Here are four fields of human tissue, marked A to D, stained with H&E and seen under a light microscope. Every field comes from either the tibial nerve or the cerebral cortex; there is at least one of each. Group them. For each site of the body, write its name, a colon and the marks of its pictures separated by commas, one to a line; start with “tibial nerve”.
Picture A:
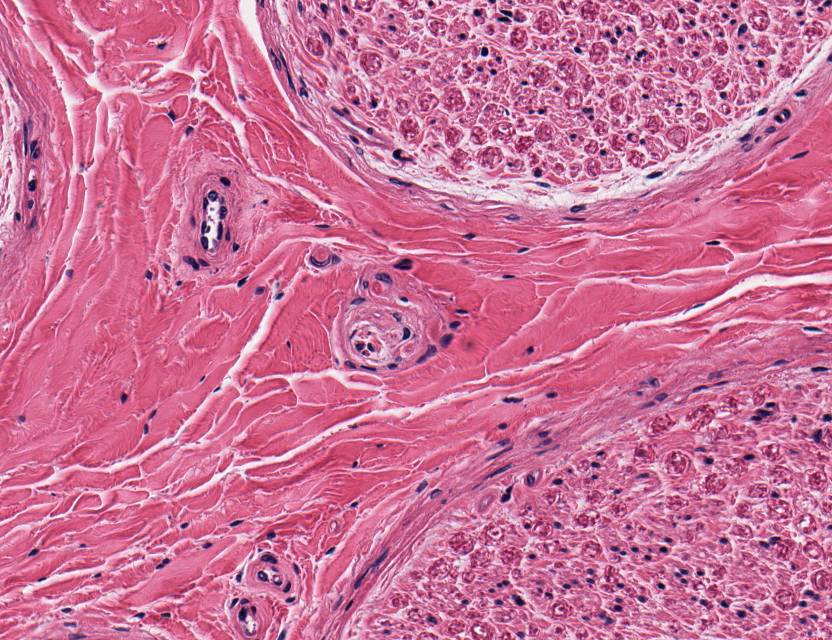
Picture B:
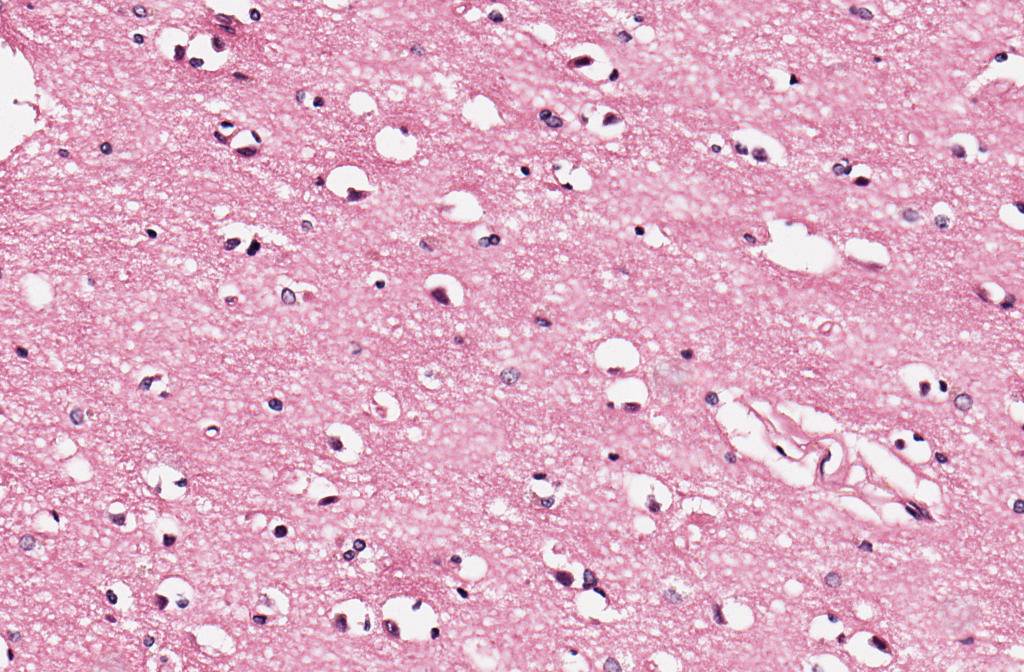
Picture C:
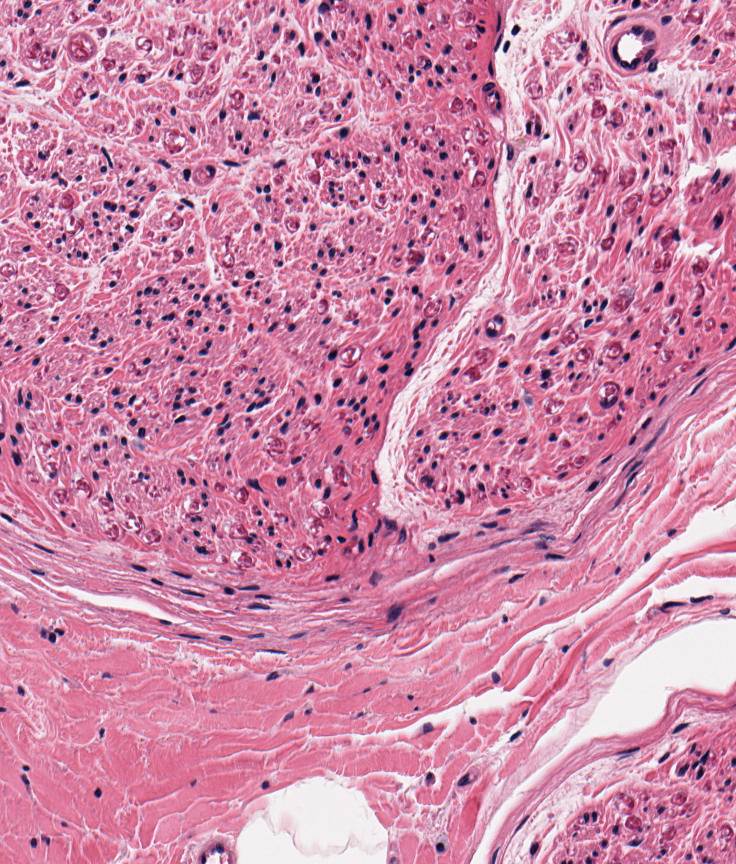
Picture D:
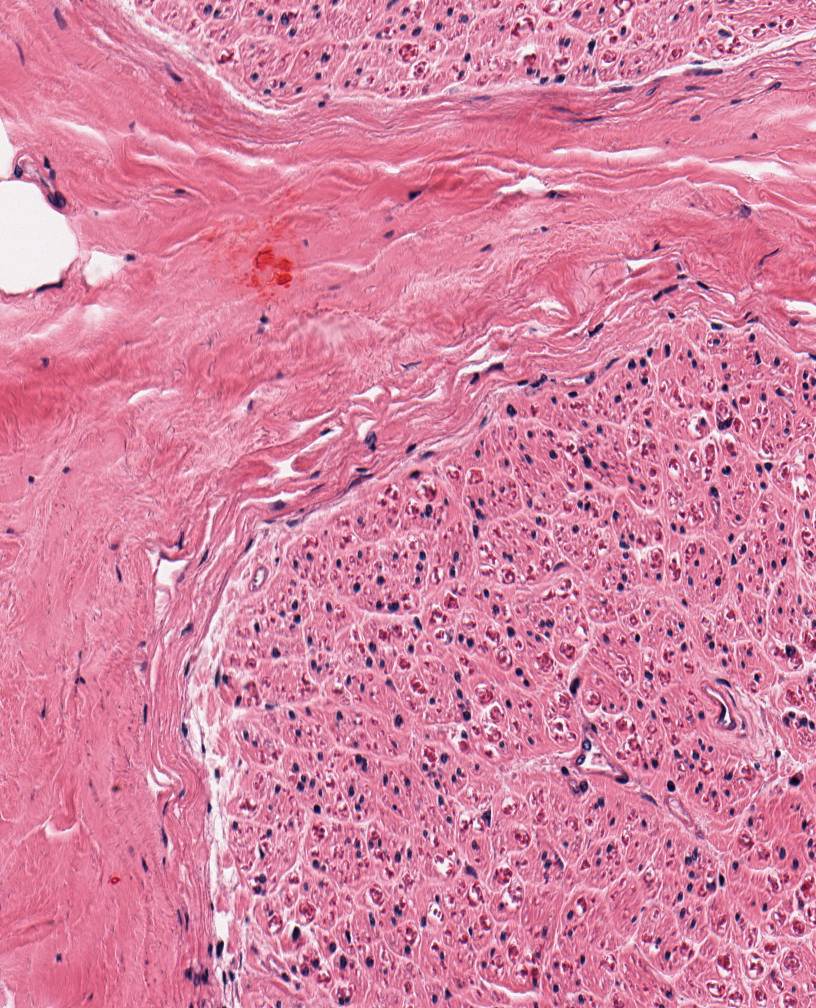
tibial nerve: A, C, D
cerebral cortex: B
